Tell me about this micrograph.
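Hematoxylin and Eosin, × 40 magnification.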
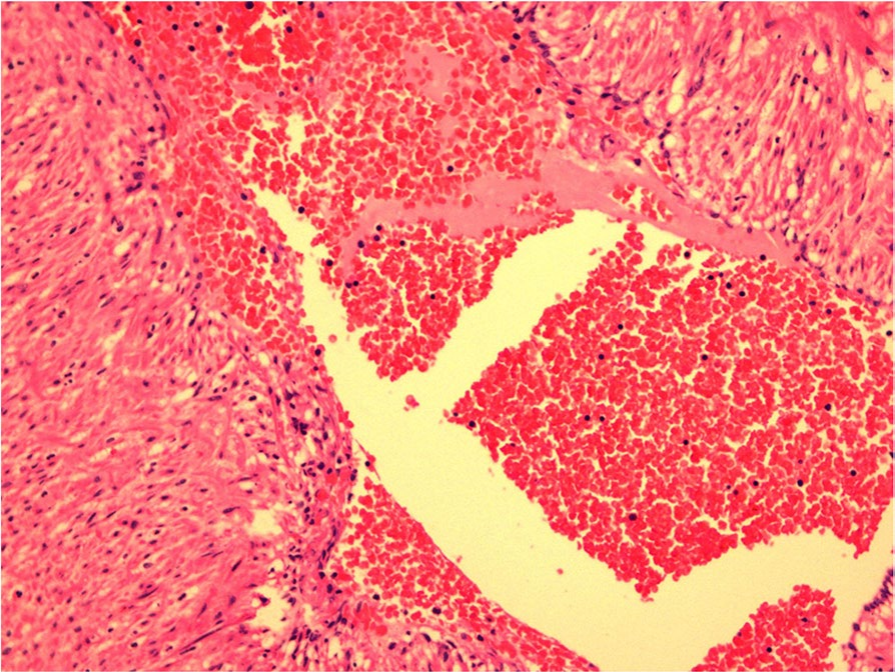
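This is a section through a blood vessel wall with a lumen filled with blood contents. The wall consists of pink spindle-shaped cells with elongated dark nuclei, arranged in interlacing bundles, and parts of it look loose with pale spaces between the fibres. The lumen is packed with small, round, bright red red blood cells. Scattered among the red cells are a few small dark nuclei. A long, empty, cleft-like space runs through the packed red cells, and a thin pale pink strand crosses the upper part of the lumen. In places, small flattened nuclei line the edge where the lumen meets the wall.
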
